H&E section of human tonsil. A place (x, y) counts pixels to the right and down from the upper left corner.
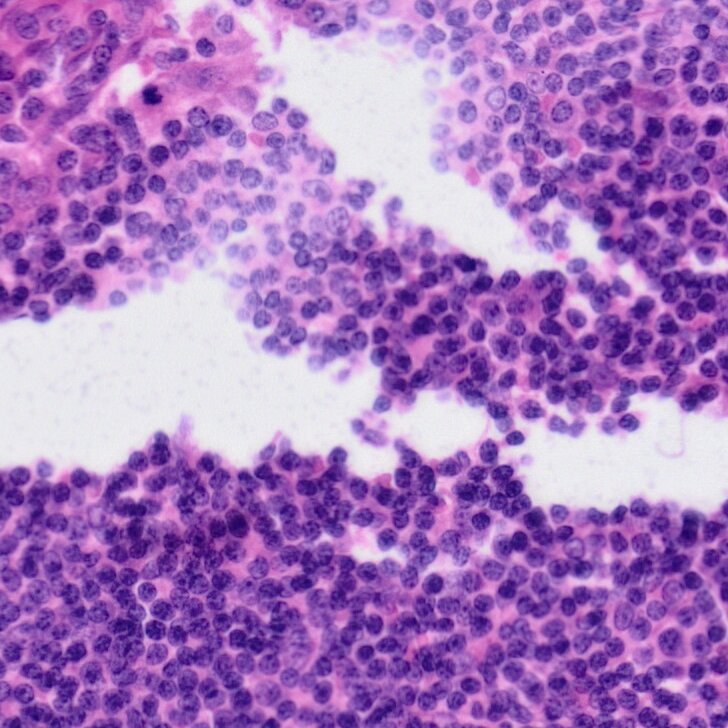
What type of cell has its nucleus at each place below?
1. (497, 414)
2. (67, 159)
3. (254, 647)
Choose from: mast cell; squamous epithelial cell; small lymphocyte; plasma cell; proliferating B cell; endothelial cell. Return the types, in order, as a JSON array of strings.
["small lymphocyte", "plasma cell", "small lymphocyte"]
